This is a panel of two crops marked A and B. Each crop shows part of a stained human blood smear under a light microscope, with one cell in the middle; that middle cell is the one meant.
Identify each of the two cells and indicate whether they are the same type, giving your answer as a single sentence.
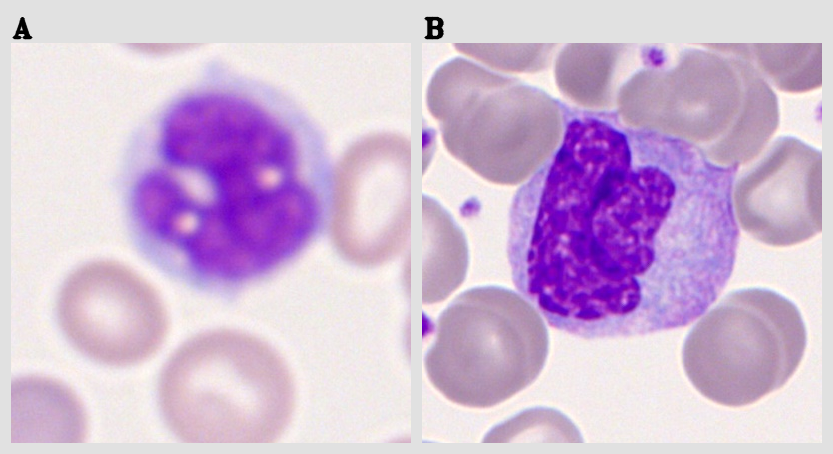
Yes, as shown in both crops, the central cells are monocytes.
